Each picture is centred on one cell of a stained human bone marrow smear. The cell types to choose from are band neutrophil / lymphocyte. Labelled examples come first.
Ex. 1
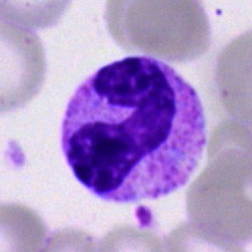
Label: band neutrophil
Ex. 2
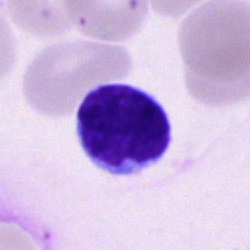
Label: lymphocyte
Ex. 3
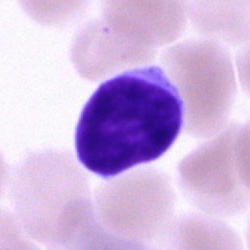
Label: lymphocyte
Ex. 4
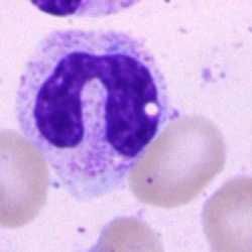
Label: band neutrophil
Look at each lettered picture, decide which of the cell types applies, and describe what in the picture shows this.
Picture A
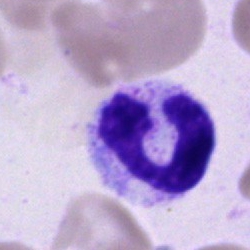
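band neutrophil. Reason: The nucleus is bent into a horseshoe shape.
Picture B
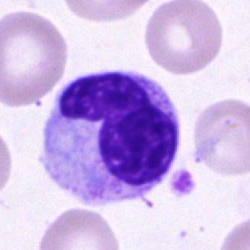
band neutrophil. Reason: The cytoplasm forms a wide area beside the nucleus rather than a thin rim.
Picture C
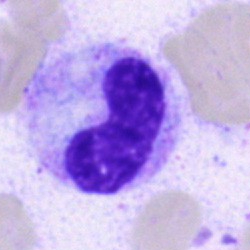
band neutrophil. Reason: The cytoplasm is plentiful and pale lilac.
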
